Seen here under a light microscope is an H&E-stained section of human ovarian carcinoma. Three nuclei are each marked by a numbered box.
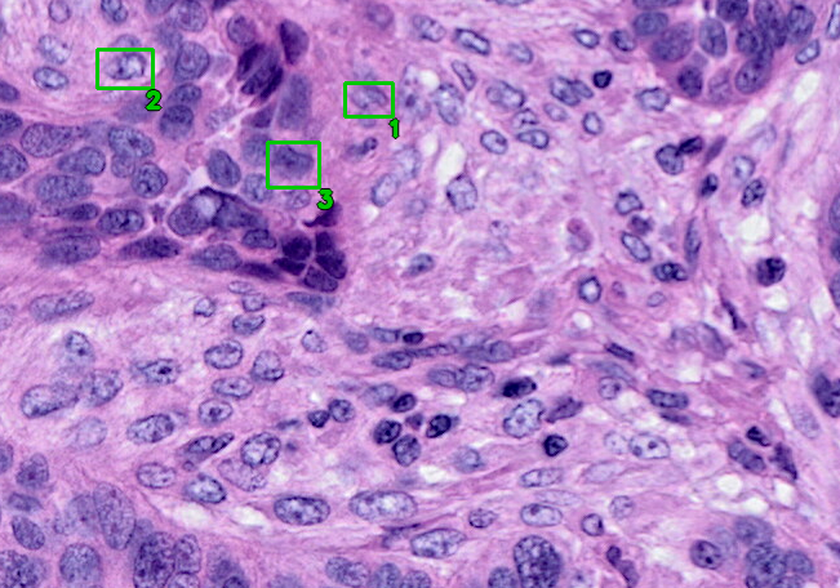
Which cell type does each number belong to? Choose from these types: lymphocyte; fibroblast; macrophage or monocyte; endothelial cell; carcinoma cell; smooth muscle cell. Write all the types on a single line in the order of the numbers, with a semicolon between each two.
fibroblast; fibroblast; carcinoma cell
